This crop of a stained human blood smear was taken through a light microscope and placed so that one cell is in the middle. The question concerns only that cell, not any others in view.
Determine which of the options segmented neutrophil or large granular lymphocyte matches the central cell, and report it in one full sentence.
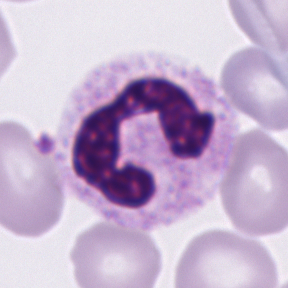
The single cell at the center of the crop is a segmented neutrophil.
